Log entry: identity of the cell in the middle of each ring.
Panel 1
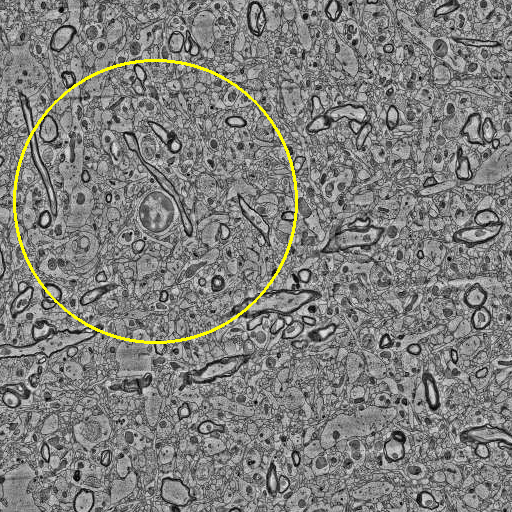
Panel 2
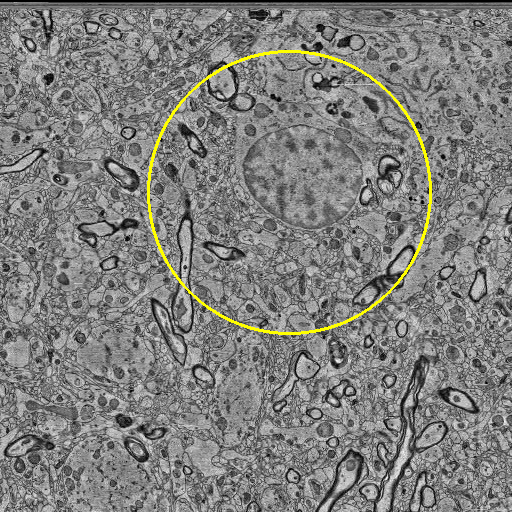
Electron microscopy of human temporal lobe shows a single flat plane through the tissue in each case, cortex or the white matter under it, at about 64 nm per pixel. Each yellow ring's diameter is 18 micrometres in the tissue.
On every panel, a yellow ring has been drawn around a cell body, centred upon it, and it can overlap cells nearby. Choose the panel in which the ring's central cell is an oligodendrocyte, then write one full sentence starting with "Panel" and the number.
Panel 2 shows the requested cell sitting in the middle of its ring.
